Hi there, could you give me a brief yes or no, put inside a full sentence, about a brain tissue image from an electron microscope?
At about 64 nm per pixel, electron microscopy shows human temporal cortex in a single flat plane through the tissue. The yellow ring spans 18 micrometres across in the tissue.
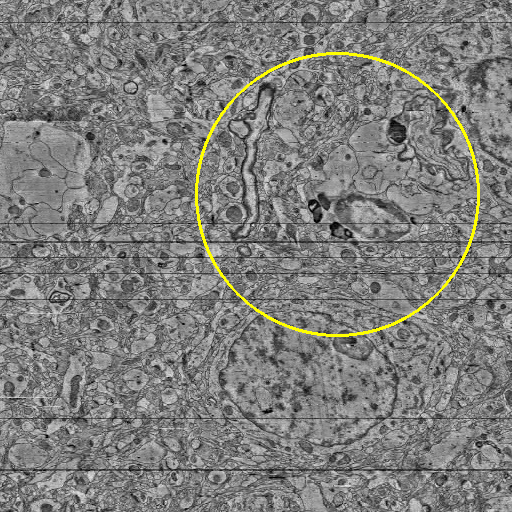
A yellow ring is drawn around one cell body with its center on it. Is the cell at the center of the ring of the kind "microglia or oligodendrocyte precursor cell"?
Yes, the cell found at the center of the yellow ring is of that kind.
